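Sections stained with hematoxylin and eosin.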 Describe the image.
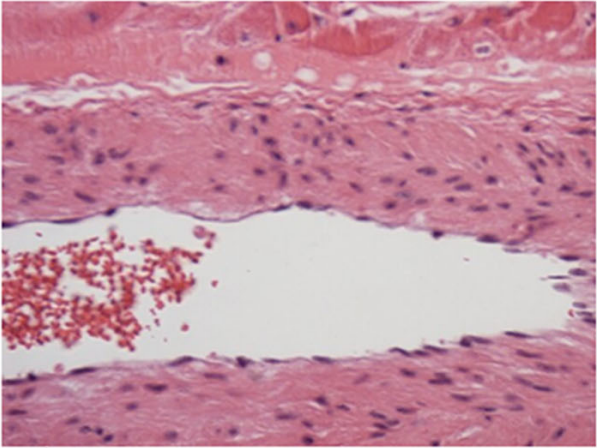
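A blood vessel cut lengthwise, its lumen lined by endothelial cells with flat, elongated, dark purple nuclei lying in a single thin layer along the inner surface. The open lumen is clear and contains a cluster of red blood cells on one side. Beneath the lining, the wall is made of several layers of spindle-shaped cells with elongated nuclei in pink cytoplasm, running parallel to the lumen. Above the vessel, separated by a thin pale band, lies pink muscle tissue. The lining is continuous and the wall layers lie close together without obvious gaps.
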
